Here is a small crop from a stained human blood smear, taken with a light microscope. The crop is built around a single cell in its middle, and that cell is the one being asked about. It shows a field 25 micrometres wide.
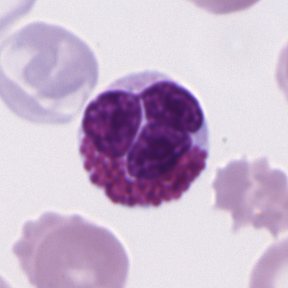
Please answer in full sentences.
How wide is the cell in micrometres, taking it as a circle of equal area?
About 12 micrometres: that is the cell's diameter.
